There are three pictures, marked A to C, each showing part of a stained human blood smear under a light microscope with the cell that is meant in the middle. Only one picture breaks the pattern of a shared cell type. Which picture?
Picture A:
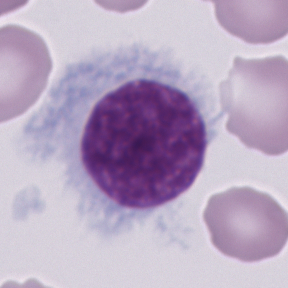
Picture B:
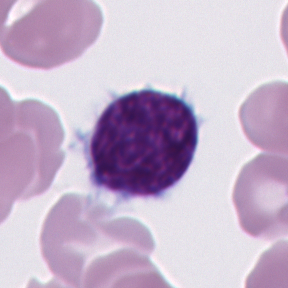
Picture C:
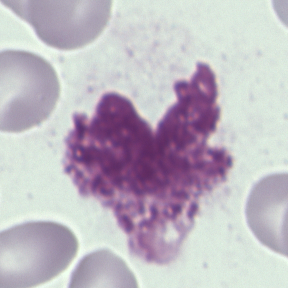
C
